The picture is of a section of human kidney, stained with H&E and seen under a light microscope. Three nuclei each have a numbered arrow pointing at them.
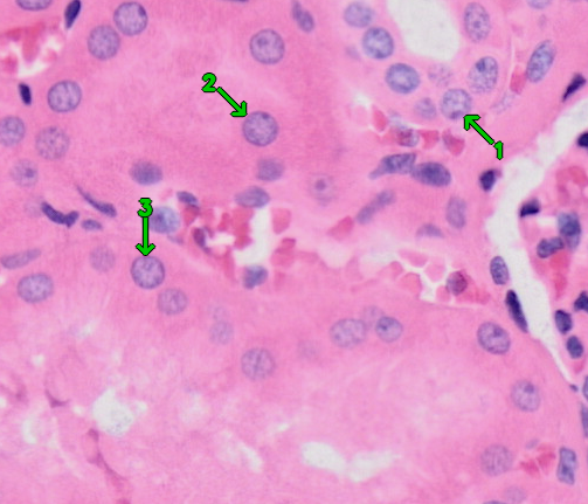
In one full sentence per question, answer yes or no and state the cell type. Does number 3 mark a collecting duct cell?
No, what is marked as number 3 is a proximal tubule cell rather than a collecting duct cell.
